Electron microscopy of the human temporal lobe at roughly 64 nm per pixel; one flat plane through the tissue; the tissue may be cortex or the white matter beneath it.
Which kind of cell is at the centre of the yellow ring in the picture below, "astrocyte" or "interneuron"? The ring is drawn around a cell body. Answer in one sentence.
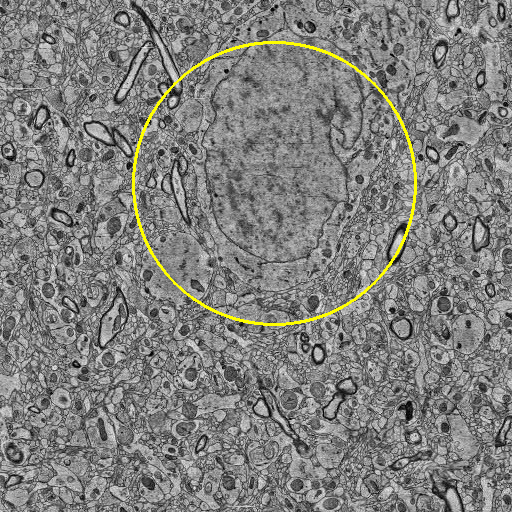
The ring's central cell is an interneuron.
